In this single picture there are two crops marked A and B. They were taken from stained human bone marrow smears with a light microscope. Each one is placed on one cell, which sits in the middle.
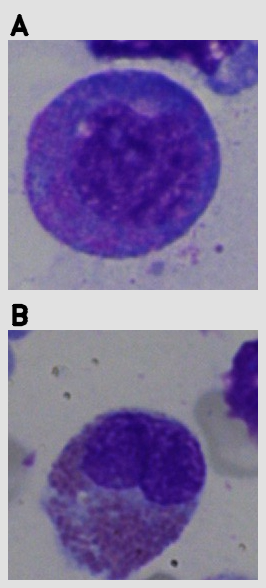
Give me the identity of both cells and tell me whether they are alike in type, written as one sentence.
No, in crop B the central cell is an eosinophil, and in crop A it is a promyelocyte.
